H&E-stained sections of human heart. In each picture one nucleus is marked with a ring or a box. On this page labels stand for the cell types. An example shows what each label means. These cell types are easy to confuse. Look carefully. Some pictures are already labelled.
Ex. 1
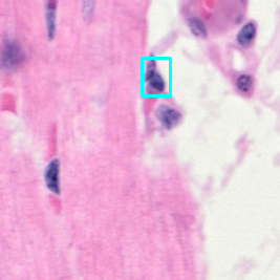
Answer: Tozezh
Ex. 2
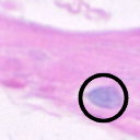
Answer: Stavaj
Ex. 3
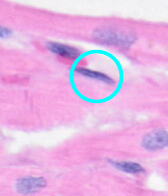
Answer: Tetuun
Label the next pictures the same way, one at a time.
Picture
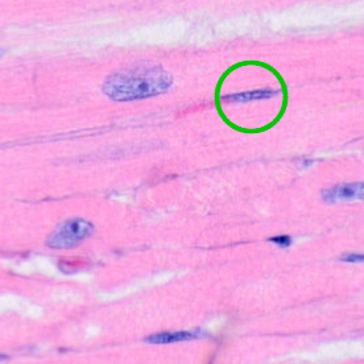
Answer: Tetuun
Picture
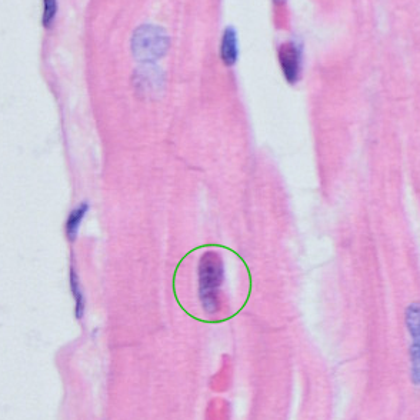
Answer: Tetuun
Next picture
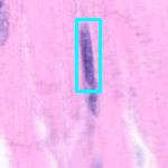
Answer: Tetuun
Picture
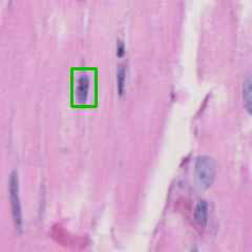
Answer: Tetuun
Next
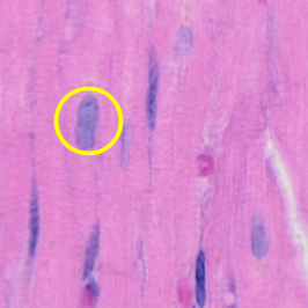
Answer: Stavaj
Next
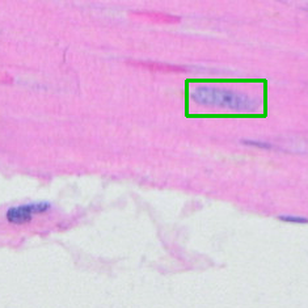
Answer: Stavaj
